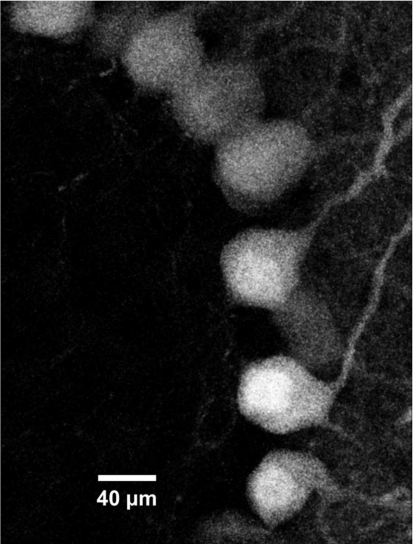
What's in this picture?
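At higher magnification, large, evenly filled, rounded cell bodies are stacked in a single line along the edge of a dark region. From several of them a thick process arises on the side away from the dark region and runs outward, and thinner bright processes cross the field to the right. These large flask-shaped somata with a stout primary dendrite are cerebellar Purkinje neurons.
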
